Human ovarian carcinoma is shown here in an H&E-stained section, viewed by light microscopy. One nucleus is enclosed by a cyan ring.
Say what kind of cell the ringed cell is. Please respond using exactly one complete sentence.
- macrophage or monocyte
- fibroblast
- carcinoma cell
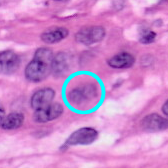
In this tissue section, the ringed cell is to be classed as a carcinoma cell.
